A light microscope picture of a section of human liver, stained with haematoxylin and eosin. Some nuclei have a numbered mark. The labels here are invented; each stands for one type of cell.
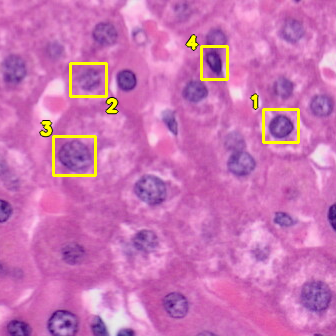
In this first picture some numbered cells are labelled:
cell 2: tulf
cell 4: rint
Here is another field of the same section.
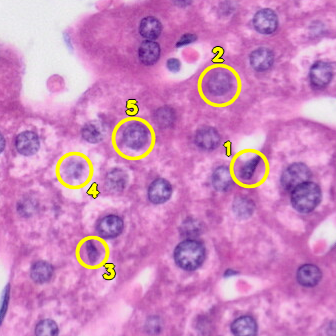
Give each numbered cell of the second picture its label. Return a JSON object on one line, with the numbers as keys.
{"1": "rint", "2": "tulf", "3": "rint", "4": "tulf", "5": "tulf"}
